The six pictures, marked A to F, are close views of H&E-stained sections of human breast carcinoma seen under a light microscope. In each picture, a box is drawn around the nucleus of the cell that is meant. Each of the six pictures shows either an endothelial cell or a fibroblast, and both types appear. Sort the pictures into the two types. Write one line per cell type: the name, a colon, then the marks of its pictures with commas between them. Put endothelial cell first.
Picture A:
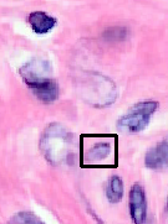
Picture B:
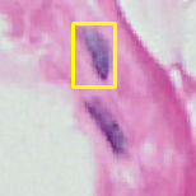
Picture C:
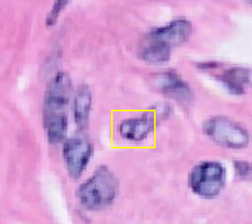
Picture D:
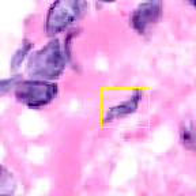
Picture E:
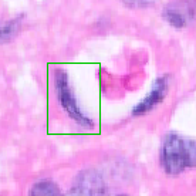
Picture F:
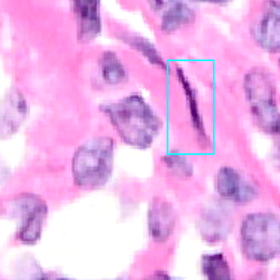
endothelial cell: A, B, C, E
fibroblast: D, F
